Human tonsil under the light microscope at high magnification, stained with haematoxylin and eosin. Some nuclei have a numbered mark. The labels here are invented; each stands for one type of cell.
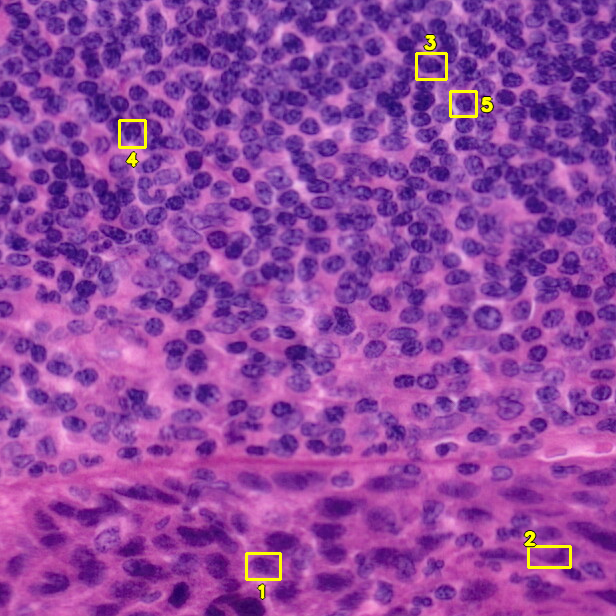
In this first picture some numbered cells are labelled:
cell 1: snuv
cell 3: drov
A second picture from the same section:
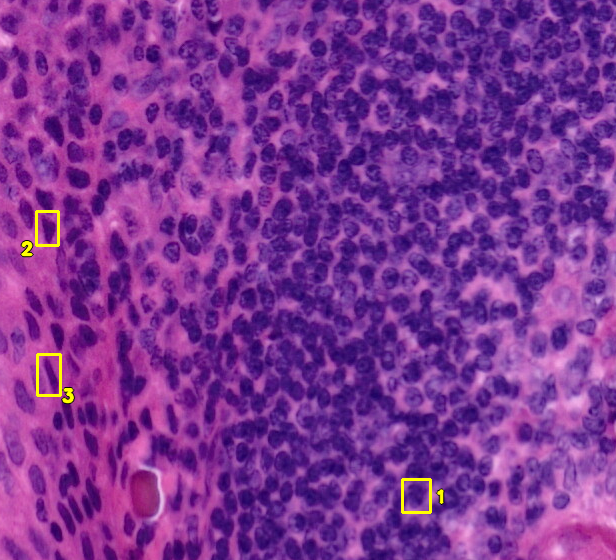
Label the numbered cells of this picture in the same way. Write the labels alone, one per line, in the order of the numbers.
drov
snuv
snuv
